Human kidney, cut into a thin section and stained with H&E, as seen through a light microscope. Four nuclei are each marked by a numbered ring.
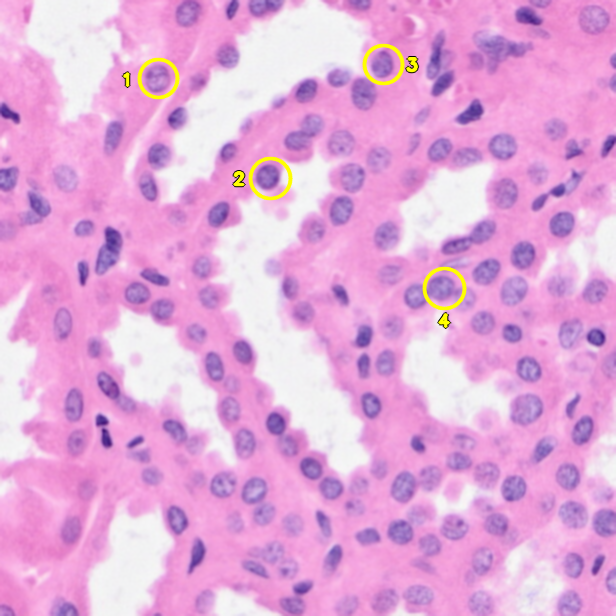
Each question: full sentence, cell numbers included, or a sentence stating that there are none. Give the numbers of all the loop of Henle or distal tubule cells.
In this section, the cells numbered 2, 3 and 4 are loop of Henle or distal tubule cells.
